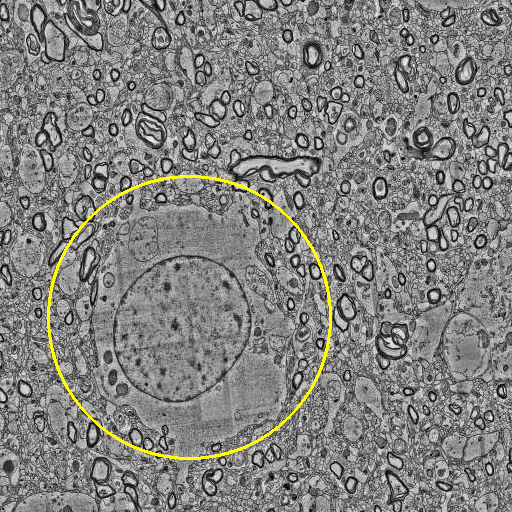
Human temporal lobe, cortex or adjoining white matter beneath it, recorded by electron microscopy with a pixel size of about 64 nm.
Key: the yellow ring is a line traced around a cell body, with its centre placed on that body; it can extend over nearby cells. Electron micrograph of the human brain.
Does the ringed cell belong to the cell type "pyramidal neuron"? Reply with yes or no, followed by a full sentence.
No, the cell at the centre of the yellow ring in the picture is of another type.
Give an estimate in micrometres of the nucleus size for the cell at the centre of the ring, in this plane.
The ringed cell's nucleus measures approximately 10 by 8 micrometres in this plane.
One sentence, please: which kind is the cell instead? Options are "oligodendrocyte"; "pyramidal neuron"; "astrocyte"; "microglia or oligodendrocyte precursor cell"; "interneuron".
Instead, the cell inside the ring is an astrocyte.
